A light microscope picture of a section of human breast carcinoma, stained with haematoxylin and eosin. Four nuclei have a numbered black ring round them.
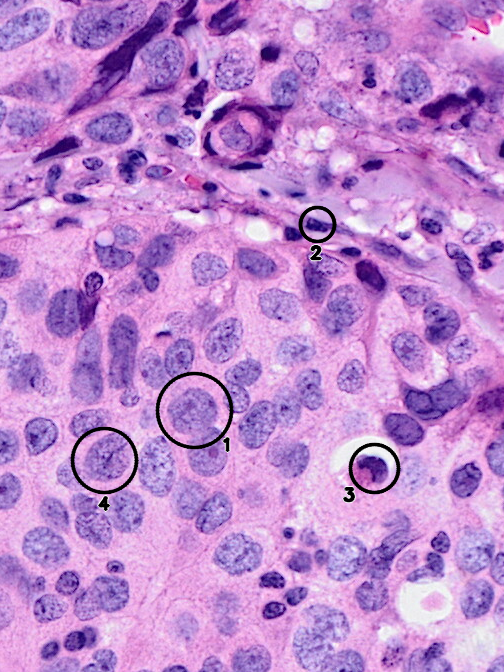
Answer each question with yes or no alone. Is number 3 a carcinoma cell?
yes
